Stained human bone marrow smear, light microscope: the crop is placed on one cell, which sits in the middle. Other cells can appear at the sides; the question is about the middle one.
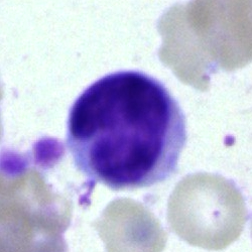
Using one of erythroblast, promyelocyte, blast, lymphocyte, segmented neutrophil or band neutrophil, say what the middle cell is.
band neutrophil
